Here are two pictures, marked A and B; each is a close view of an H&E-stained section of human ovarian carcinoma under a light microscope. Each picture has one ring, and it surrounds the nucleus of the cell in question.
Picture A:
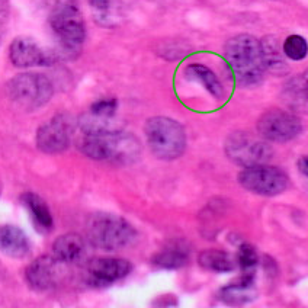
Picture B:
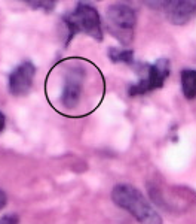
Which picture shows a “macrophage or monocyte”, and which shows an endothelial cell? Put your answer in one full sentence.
In picture A the cell is an endothelial cell; in picture B, a “macrophage or monocyte”.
